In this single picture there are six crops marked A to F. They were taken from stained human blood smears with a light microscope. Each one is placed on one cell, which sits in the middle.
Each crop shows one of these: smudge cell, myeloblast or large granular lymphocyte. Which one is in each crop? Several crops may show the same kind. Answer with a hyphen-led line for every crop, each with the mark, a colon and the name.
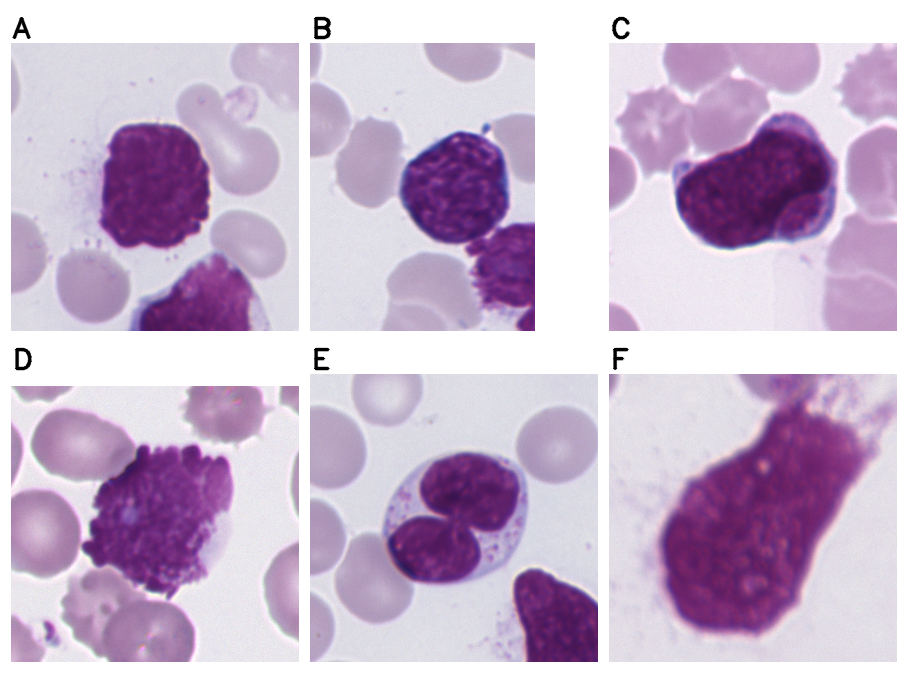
- A: smudge cell
- B: myeloblast
- C: myeloblast
- D: smudge cell
- E: large granular lymphocyte
- F: smudge cell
